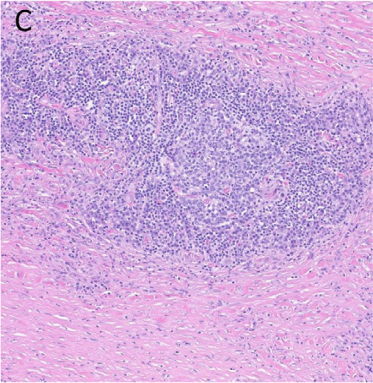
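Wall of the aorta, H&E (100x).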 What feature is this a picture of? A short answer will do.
distinct germinal center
